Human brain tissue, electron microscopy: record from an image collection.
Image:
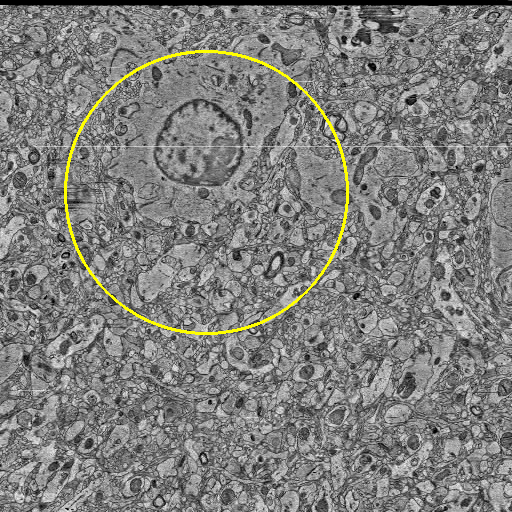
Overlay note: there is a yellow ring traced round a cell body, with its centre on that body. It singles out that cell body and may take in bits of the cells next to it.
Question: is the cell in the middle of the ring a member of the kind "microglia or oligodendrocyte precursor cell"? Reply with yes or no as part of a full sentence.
No, the image's ringed cell, the one at the ring's centre, is a member of another kind.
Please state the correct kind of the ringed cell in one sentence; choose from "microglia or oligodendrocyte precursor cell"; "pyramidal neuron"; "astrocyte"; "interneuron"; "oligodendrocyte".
The ring's central cell is an astrocyte instead.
